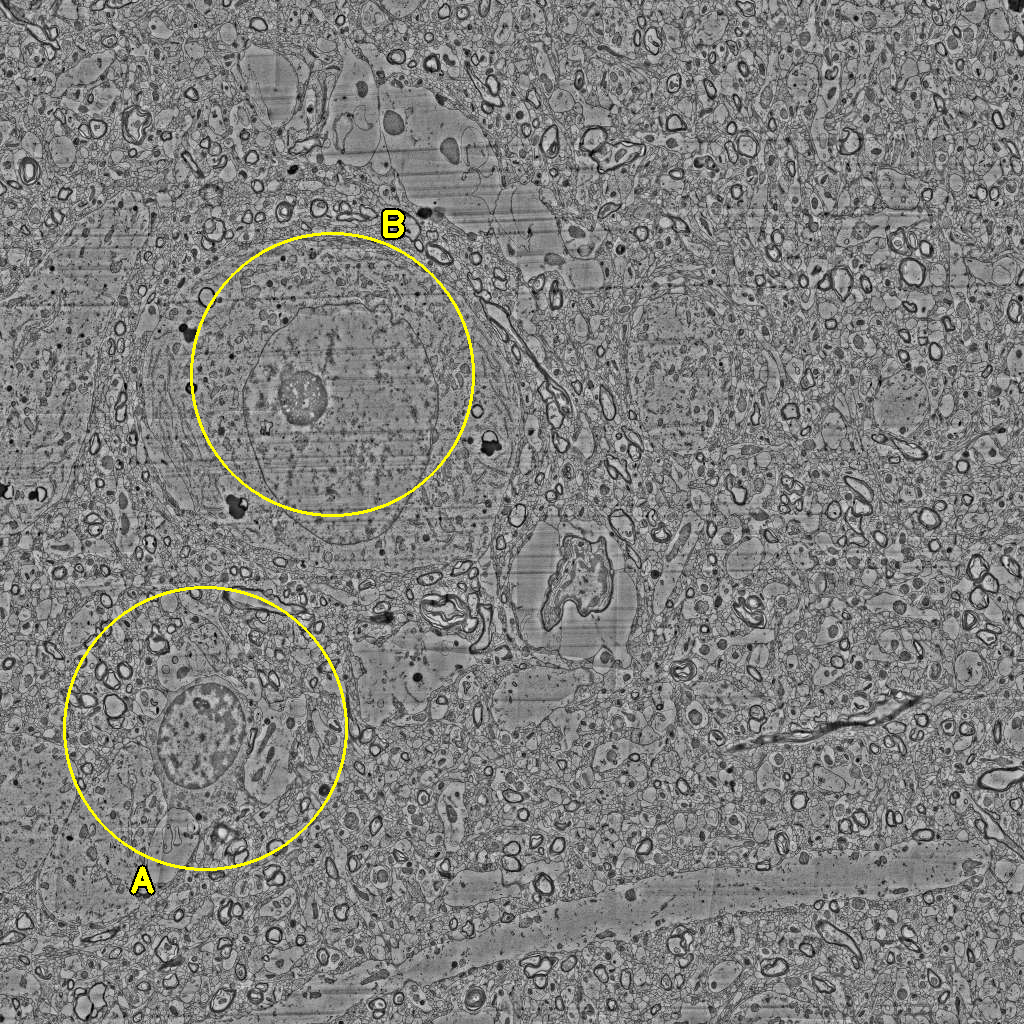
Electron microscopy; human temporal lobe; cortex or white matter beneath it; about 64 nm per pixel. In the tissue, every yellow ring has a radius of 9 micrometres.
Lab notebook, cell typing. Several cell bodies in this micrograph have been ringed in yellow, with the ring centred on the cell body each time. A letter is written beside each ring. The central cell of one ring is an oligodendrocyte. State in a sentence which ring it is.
It is ring A.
